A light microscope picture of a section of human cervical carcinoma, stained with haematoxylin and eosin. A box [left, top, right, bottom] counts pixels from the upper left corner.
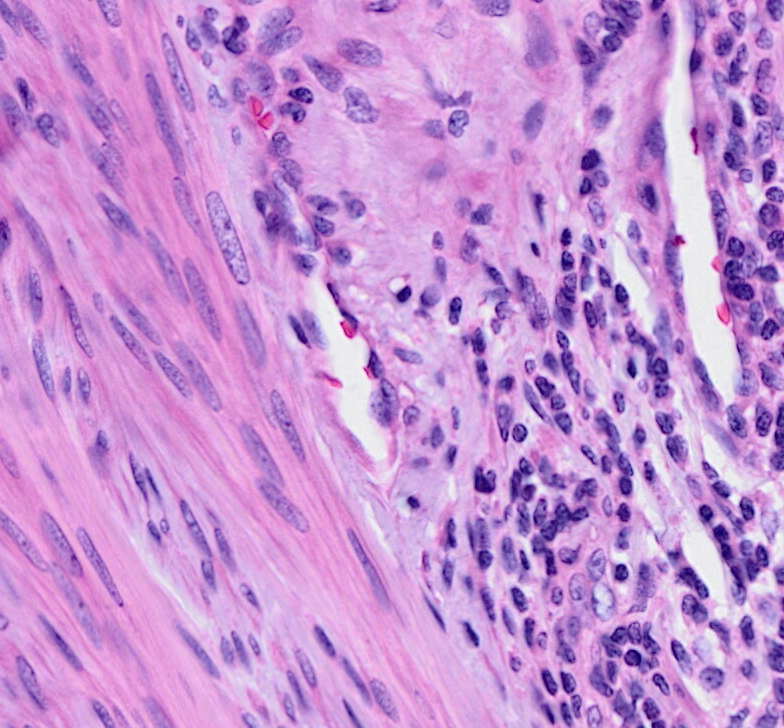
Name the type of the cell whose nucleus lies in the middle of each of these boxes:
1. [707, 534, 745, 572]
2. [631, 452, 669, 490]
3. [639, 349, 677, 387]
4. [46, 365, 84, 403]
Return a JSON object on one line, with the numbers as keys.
{"1": "lymphocyte", "2": "lymphocyte", "3": "lymphocyte", "4": "smooth muscle cell"}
